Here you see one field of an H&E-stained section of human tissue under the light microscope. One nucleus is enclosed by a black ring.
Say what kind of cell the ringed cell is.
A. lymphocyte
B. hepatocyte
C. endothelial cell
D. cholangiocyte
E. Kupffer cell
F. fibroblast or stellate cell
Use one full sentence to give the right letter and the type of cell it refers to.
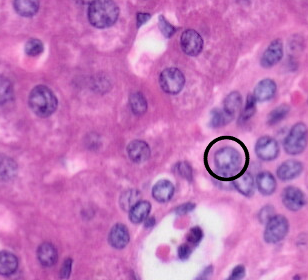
The correct choice is option D; the ringed cell is a cholangiocyte.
